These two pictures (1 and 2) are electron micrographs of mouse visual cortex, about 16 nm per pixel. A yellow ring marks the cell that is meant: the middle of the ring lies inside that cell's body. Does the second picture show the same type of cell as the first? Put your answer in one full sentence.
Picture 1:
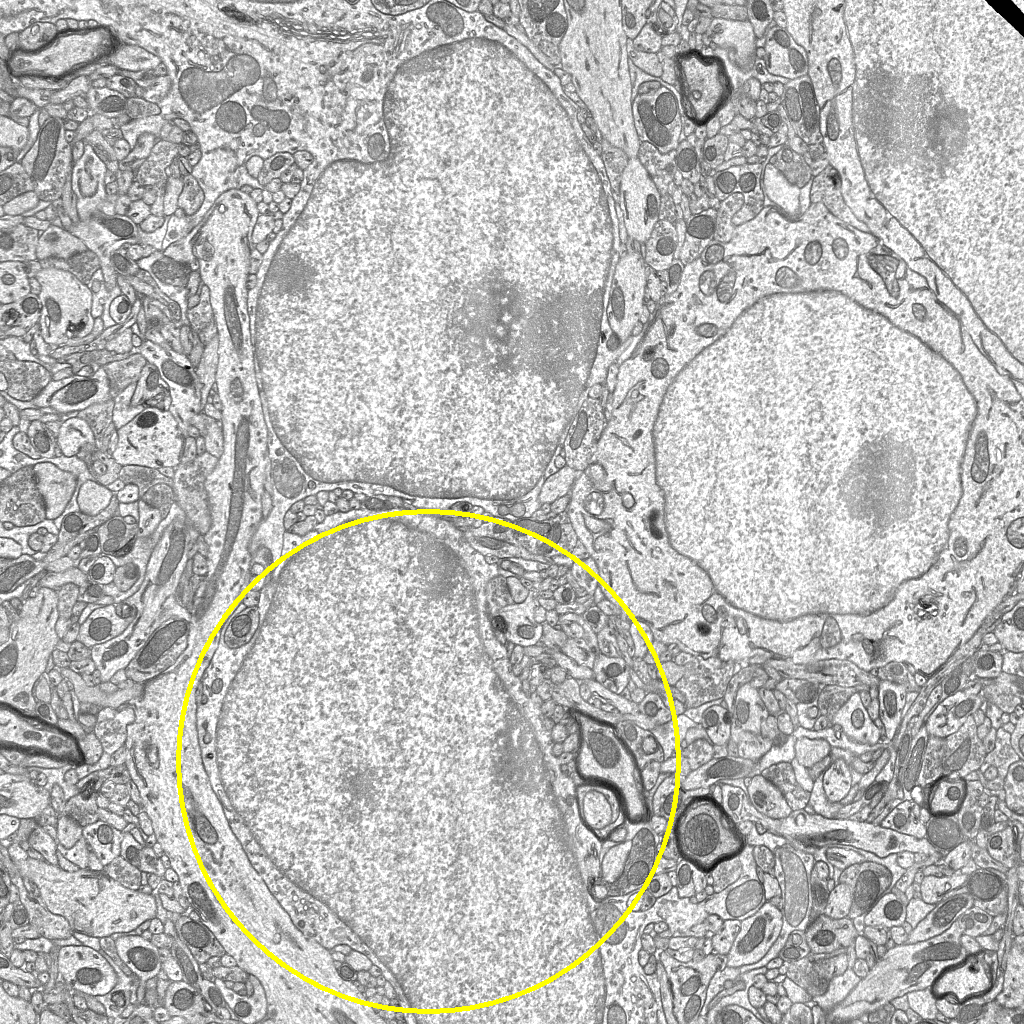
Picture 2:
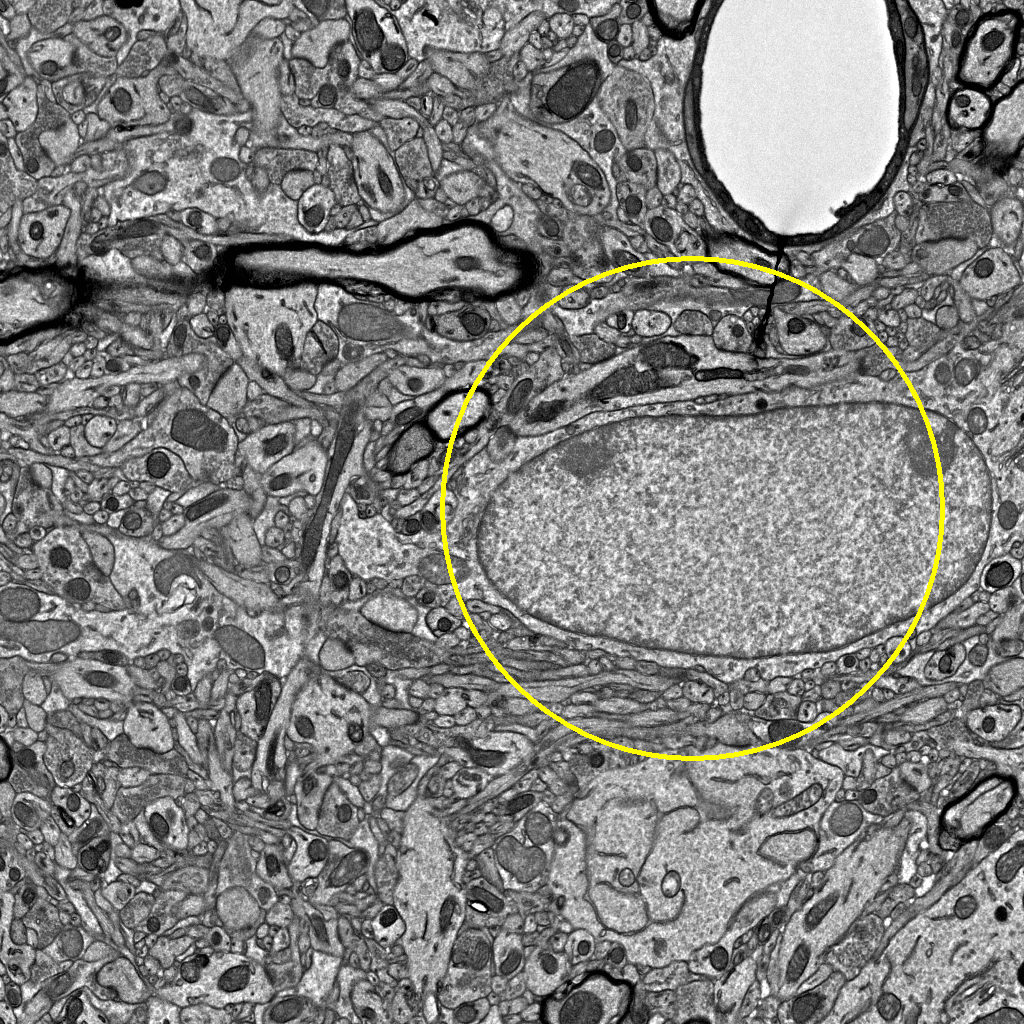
Yes, they are the same type: both are astrocytes.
